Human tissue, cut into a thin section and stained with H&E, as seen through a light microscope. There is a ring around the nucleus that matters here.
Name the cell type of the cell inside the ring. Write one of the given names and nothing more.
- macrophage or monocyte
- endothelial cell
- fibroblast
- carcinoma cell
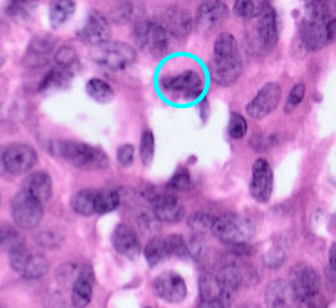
macrophage or monocyte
